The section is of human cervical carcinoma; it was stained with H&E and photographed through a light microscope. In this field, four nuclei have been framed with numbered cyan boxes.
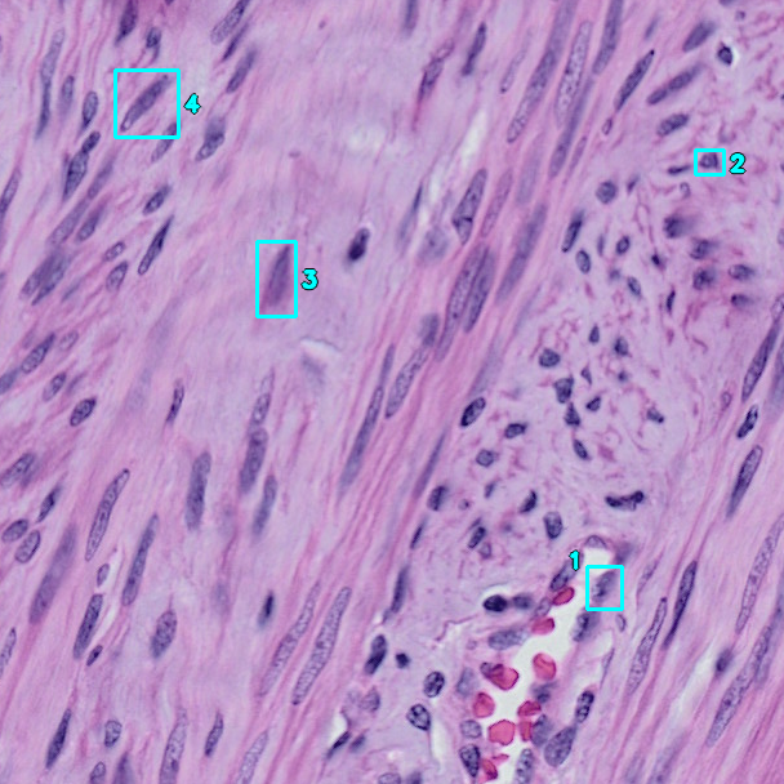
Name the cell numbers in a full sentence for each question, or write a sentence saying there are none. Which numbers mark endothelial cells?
Only the cell at mark 1 is an endothelial cell, and no other marked cell is.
